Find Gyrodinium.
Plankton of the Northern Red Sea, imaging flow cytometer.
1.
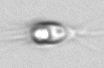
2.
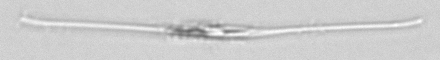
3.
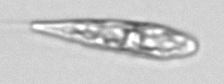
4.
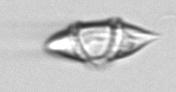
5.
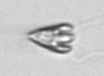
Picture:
4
